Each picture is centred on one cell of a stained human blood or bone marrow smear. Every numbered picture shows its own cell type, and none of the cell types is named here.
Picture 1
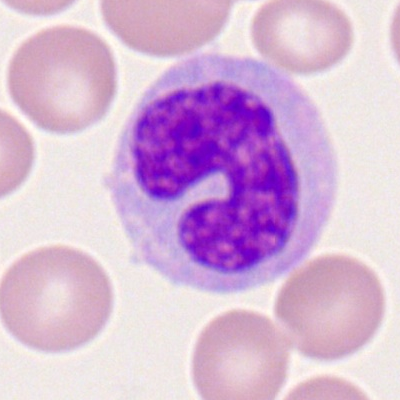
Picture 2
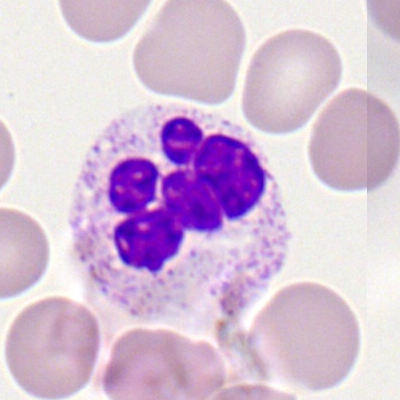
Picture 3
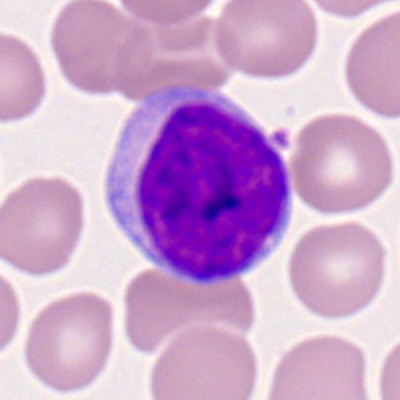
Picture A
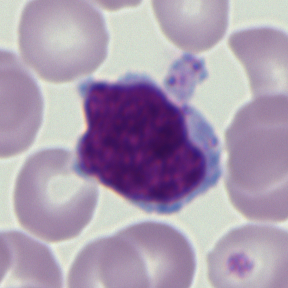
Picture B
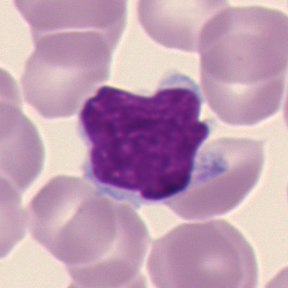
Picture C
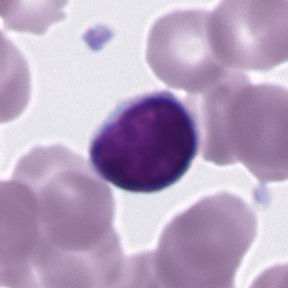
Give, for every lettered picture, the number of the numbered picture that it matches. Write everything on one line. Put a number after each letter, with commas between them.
A 3, B 3, C 3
